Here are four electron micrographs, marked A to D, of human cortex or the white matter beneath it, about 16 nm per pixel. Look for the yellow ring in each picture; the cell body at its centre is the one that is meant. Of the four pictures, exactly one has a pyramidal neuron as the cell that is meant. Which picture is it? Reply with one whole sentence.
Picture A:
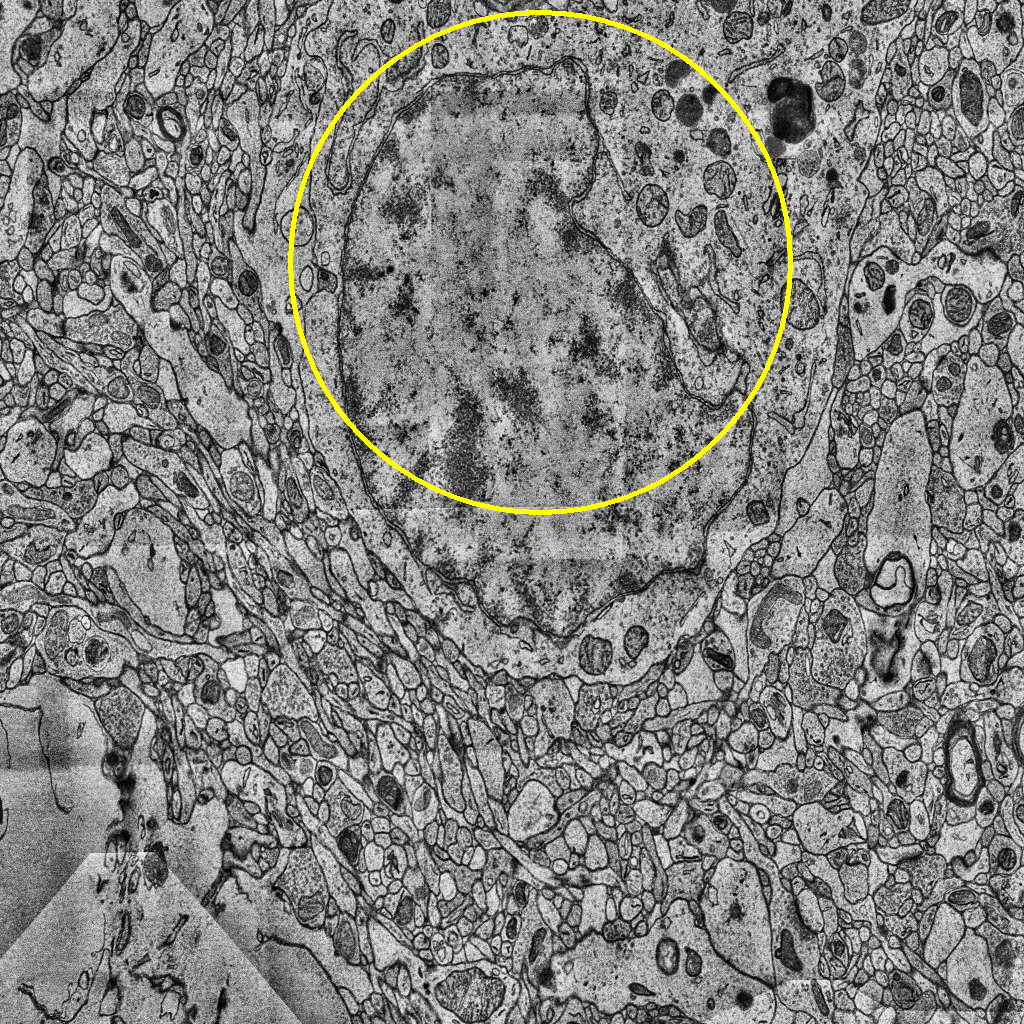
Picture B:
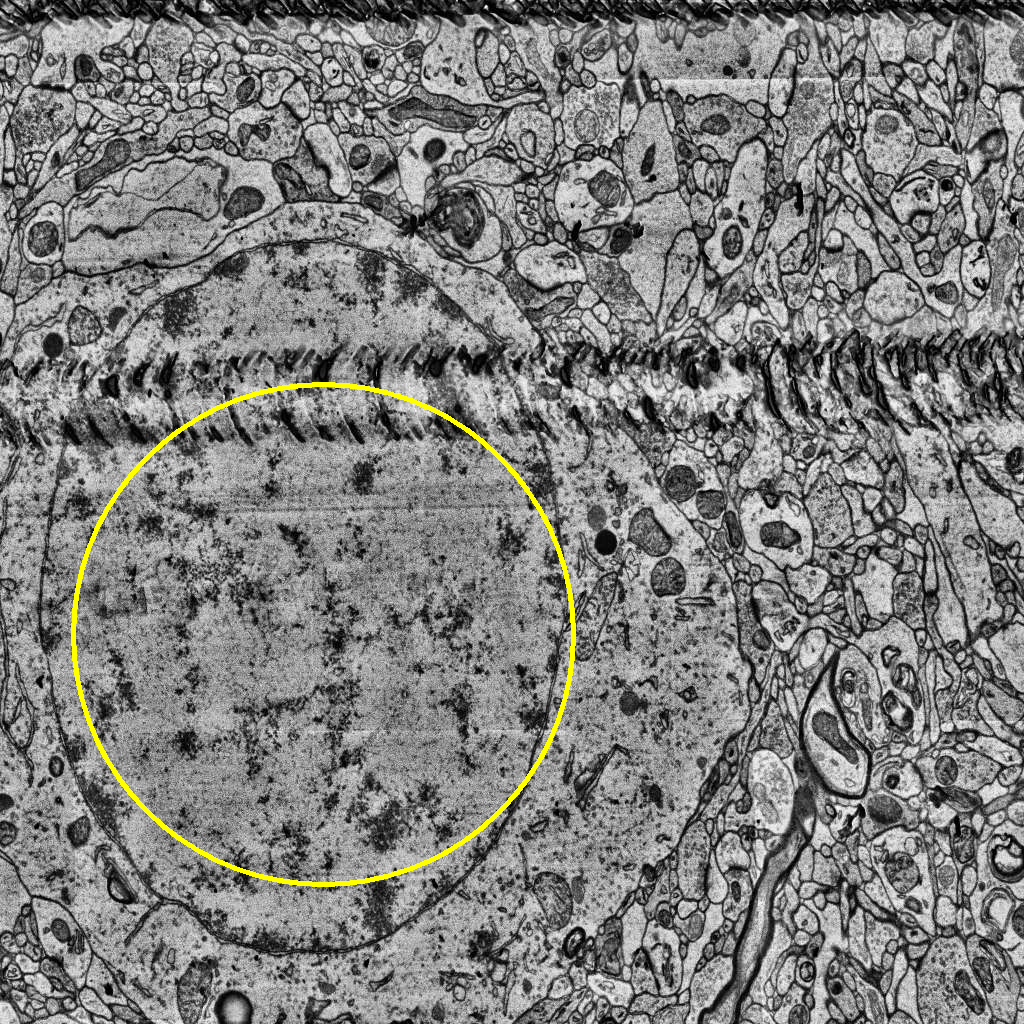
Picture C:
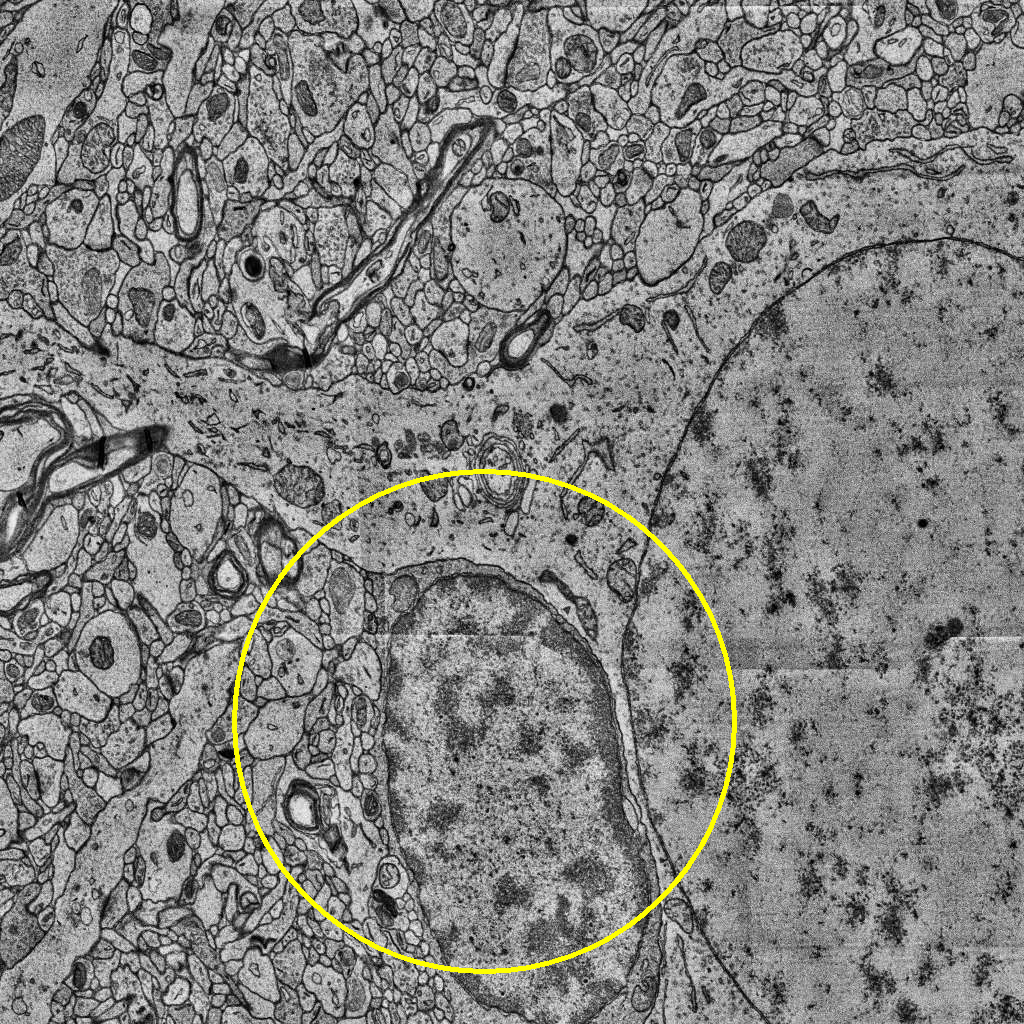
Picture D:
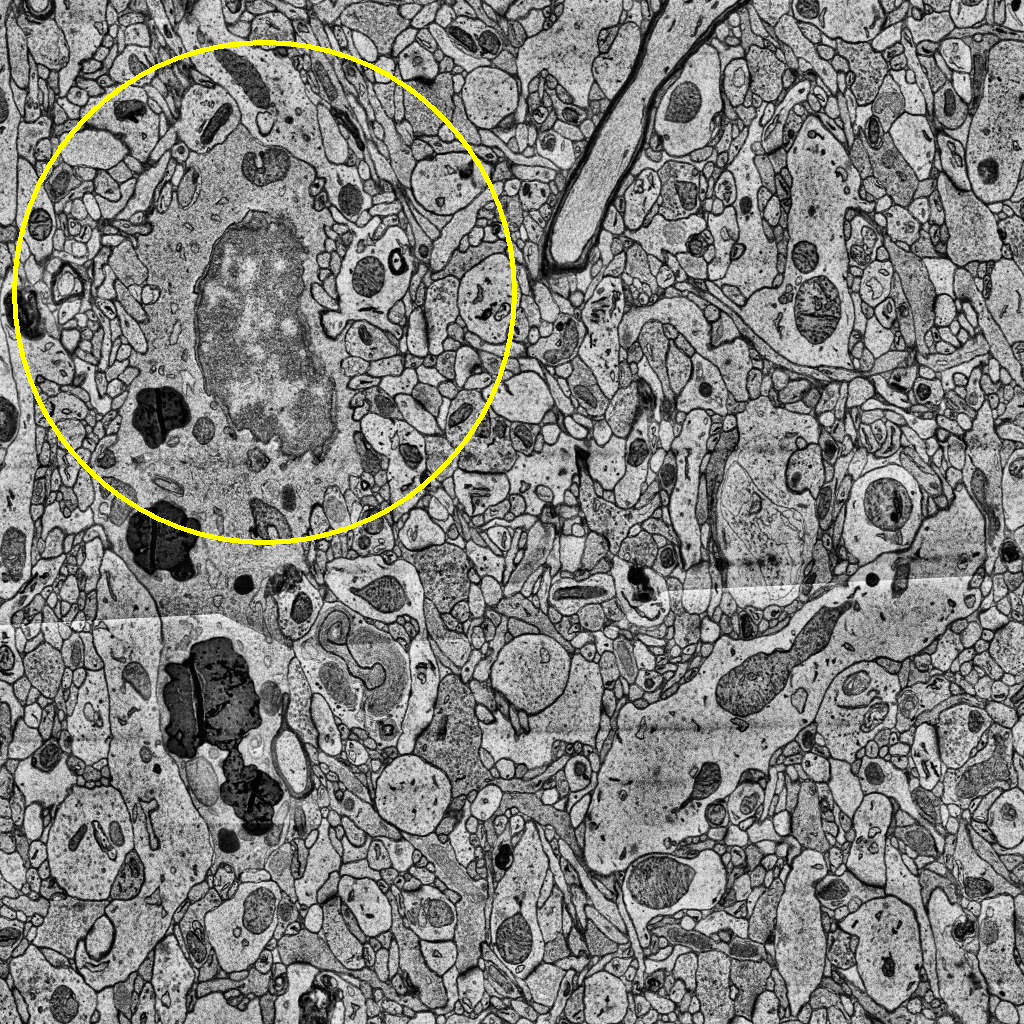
The picture with the pyramidal neuron is B.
